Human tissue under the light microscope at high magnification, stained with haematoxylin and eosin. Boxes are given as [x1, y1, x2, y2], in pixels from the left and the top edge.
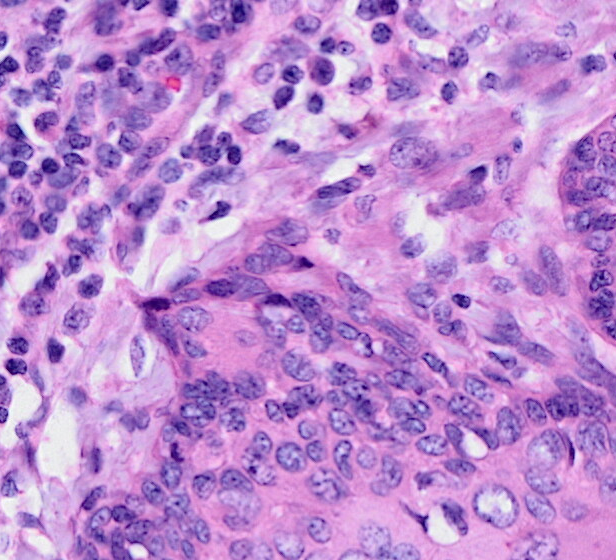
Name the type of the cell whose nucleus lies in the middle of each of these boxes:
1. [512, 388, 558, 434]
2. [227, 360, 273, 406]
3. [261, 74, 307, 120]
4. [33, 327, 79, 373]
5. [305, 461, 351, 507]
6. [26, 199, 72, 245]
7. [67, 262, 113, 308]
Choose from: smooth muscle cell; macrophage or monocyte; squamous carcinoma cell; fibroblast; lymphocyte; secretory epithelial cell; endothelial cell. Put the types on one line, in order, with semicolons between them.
squamous carcinoma cell; squamous carcinoma cell; lymphocyte; lymphocyte; squamous carcinoma cell; lymphocyte; lymphocyte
